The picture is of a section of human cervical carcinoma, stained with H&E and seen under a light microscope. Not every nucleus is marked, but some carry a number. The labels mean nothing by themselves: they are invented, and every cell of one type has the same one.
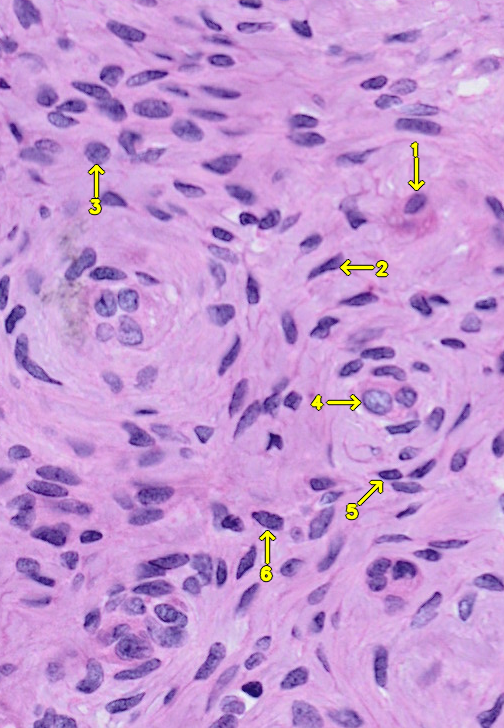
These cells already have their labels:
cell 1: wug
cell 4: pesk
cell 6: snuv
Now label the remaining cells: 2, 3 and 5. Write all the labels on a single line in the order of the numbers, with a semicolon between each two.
snuv; snuv; snuv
